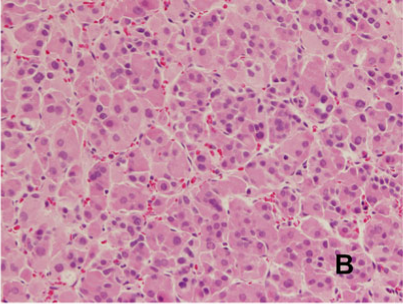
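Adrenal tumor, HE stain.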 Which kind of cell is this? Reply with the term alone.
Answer: Atypical eosinophilic cells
